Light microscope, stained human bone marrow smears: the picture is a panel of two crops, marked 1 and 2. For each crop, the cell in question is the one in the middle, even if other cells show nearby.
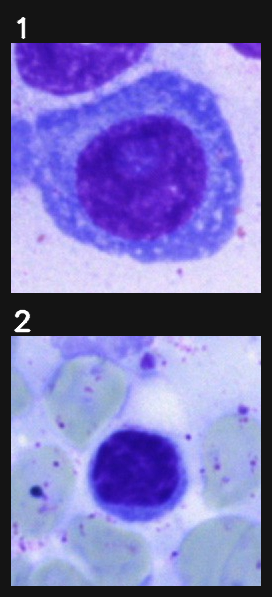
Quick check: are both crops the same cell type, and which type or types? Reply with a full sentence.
No, the central cell of crop 1 is a plasma cell; that of crop 2 is a lymphocyte.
